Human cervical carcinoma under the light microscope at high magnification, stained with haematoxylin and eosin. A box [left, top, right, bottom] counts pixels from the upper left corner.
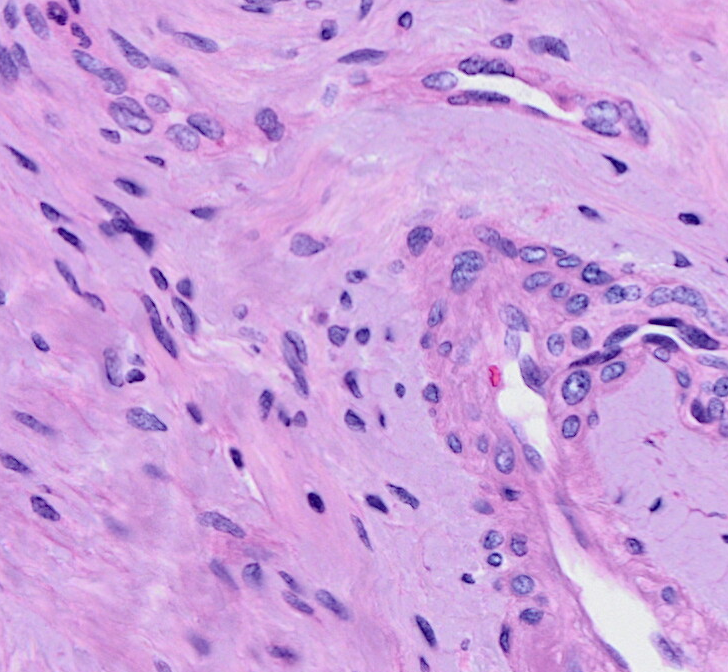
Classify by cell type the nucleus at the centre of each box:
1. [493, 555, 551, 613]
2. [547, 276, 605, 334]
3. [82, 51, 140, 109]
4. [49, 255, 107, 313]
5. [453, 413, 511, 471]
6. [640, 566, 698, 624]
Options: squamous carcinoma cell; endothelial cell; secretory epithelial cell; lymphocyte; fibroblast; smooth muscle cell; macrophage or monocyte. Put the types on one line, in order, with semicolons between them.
smooth muscle cell; smooth muscle cell; endothelial cell; fibroblast; smooth muscle cell; smooth muscle cell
